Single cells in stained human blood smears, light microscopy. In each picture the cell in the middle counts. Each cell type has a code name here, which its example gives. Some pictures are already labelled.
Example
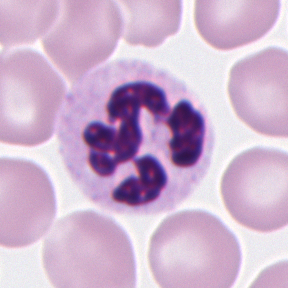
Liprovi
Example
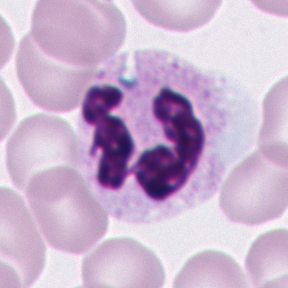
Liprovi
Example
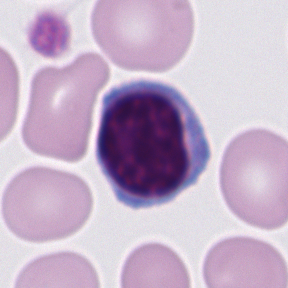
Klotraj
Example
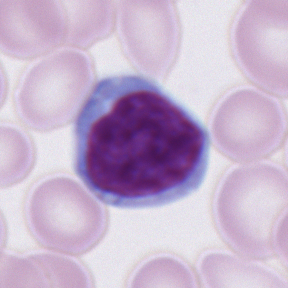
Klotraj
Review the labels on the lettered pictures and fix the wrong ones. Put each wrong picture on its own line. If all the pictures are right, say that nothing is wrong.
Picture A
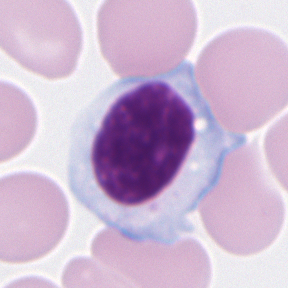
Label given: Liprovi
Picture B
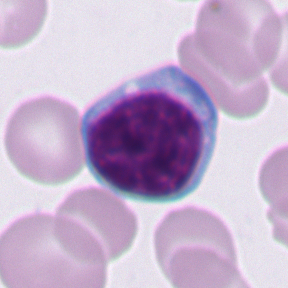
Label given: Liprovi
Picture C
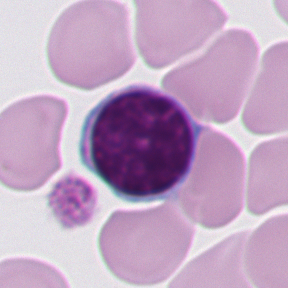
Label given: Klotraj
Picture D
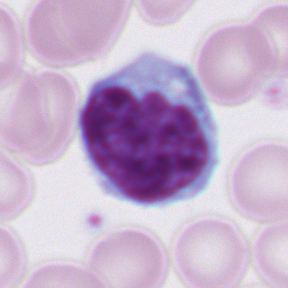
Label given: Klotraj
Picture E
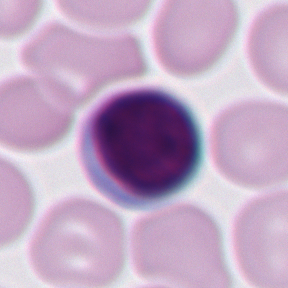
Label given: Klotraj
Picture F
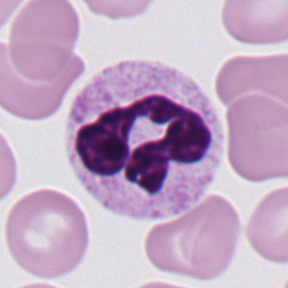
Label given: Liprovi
A: change Liprovi to Klotraj
B: change Liprovi to Klotraj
